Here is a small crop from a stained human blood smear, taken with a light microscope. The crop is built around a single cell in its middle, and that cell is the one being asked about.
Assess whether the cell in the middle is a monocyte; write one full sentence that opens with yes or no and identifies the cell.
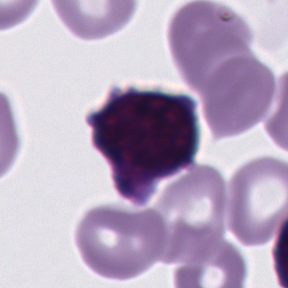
No, the centred cell is a myeloblast, and it is not a monocyte.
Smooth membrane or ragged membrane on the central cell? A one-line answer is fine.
Irregular rather than smooth, the cell margin shows ragged areas or projections.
